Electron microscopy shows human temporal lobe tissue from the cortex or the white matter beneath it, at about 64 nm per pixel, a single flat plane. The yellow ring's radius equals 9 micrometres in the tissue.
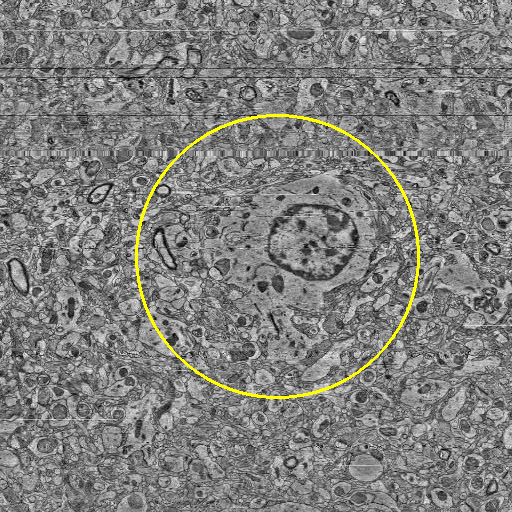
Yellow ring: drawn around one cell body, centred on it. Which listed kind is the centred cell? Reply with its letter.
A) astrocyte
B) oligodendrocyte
A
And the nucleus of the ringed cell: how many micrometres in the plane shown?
About 5 micrometres across in this plane, for the nucleus.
